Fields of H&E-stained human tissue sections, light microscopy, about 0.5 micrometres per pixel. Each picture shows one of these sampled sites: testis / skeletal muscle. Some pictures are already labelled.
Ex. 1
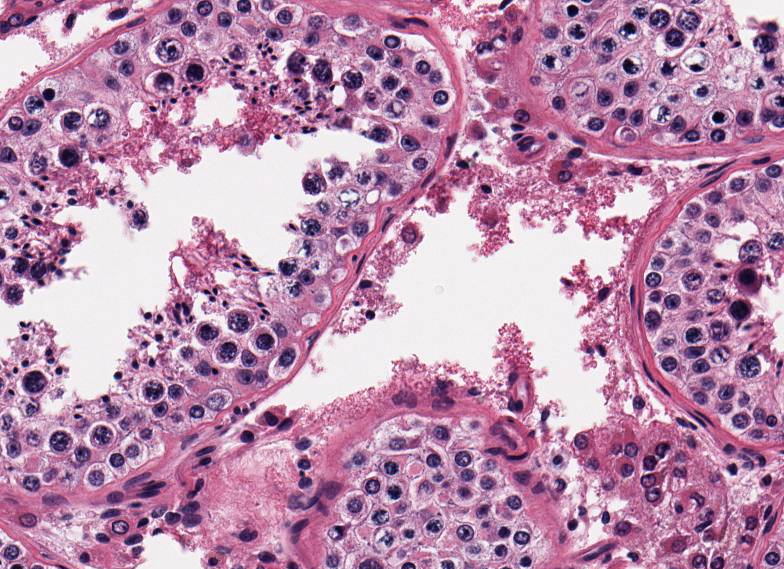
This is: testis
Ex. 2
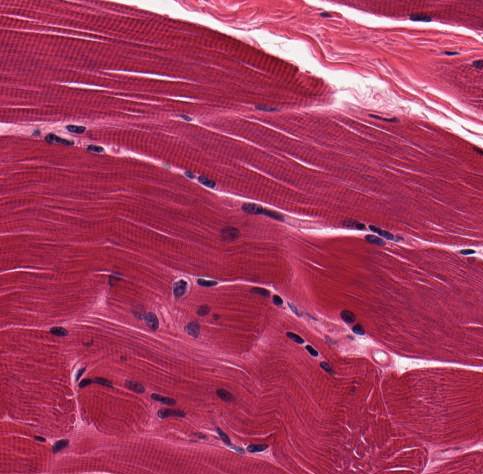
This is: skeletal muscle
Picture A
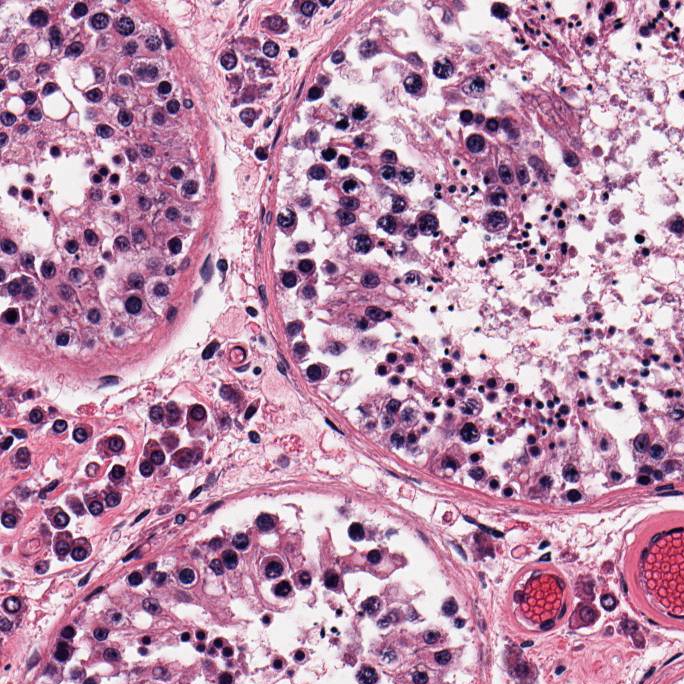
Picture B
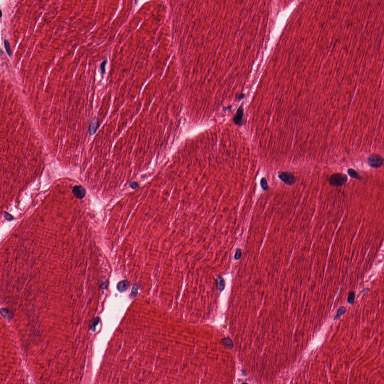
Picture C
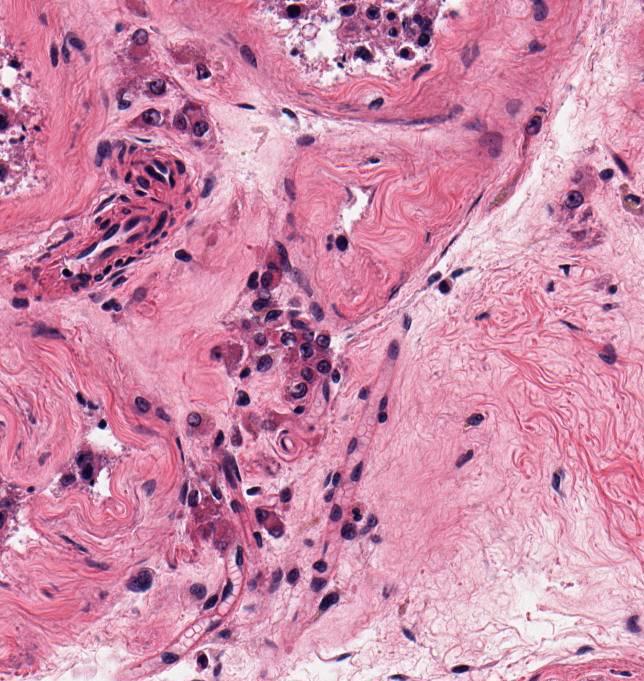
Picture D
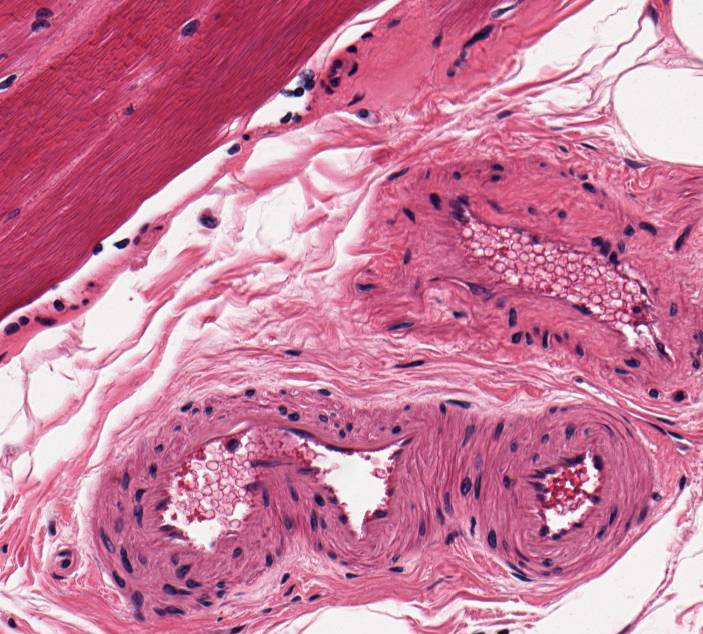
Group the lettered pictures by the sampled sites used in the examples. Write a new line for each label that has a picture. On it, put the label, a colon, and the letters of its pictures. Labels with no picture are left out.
testis: A, C
skeletal muscle: B, D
